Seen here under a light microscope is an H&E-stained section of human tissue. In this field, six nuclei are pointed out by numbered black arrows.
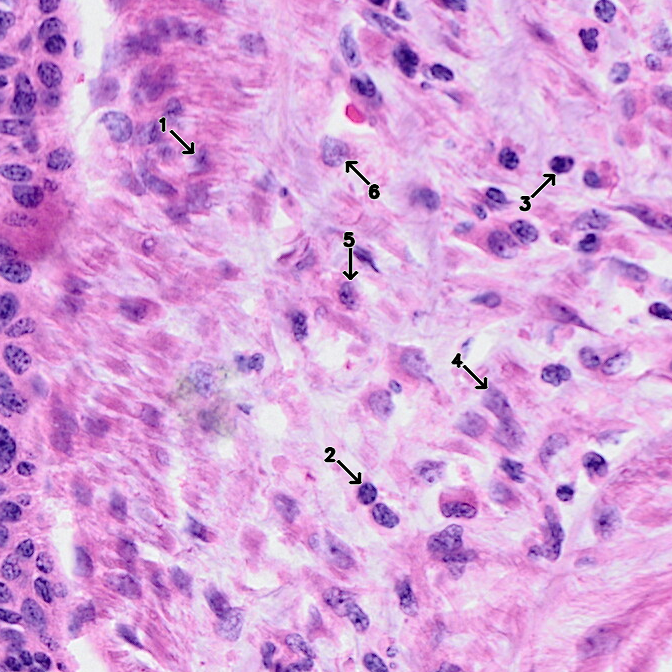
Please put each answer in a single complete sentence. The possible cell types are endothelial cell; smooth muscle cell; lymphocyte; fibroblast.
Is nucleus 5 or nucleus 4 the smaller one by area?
It is nucleus 5; nucleus 4 has about 1.5 times its area.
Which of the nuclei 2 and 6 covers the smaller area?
Nucleus 2 covers less area, with nucleus 6 about 1.5 times as large.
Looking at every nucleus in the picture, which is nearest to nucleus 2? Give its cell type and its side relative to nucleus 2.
A lymphocyte lies closest, below and to the right of nucleus 2.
